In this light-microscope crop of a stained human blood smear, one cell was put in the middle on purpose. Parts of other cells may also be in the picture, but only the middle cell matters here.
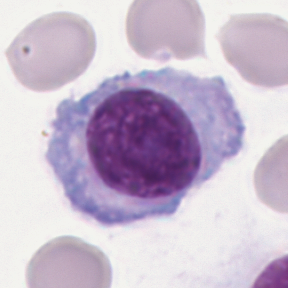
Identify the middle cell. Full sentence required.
At the middle of the frame sits a plasma cell.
